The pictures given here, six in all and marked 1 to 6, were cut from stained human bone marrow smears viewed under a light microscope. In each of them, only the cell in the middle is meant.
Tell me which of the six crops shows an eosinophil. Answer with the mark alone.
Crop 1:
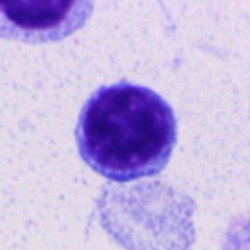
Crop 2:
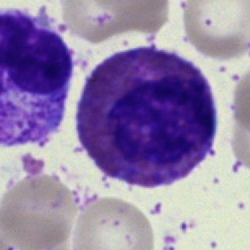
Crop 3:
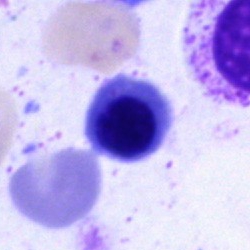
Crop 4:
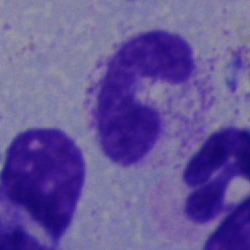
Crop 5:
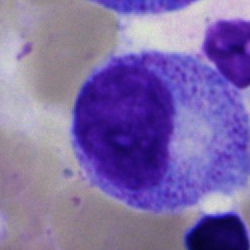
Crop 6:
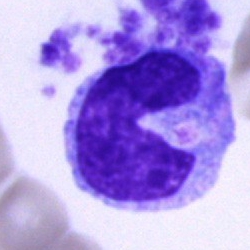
2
